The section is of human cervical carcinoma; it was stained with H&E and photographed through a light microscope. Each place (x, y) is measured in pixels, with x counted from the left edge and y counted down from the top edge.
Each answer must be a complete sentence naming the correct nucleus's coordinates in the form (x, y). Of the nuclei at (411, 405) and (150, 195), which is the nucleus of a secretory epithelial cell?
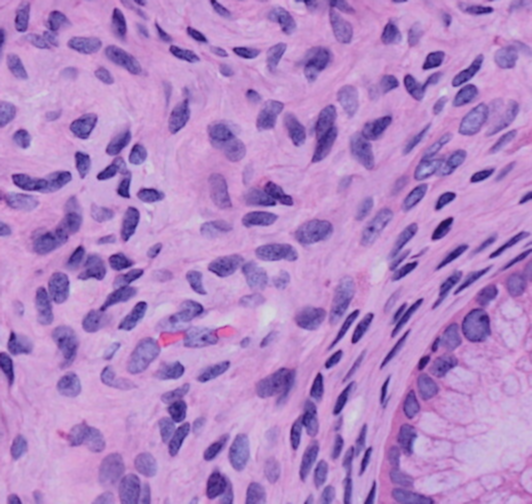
Of the two nuclei, the nucleus of a secretory epithelial cell is at (411, 405).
